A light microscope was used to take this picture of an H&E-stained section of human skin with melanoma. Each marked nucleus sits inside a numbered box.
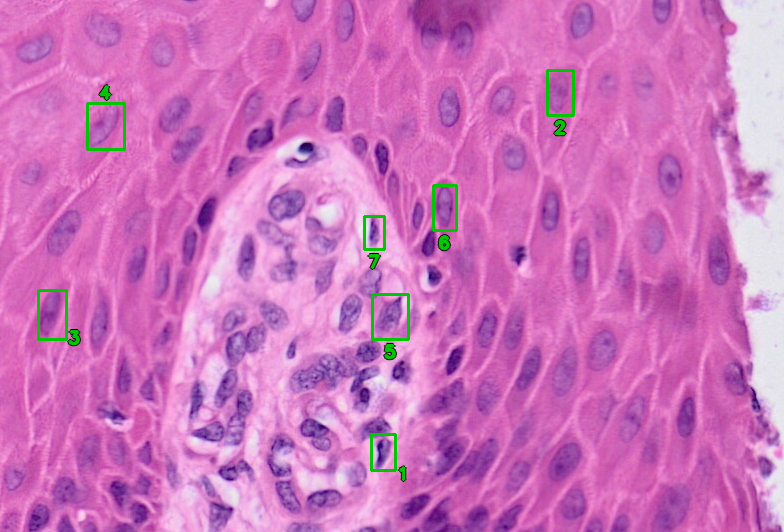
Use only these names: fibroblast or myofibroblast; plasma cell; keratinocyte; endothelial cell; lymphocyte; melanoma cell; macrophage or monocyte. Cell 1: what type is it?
lymphocyte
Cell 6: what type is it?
keratinocyte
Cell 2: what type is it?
keratinocyte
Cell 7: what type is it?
fibroblast or myofibroblast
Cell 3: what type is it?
keratinocyte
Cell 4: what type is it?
keratinocyte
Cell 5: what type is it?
endothelial cell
